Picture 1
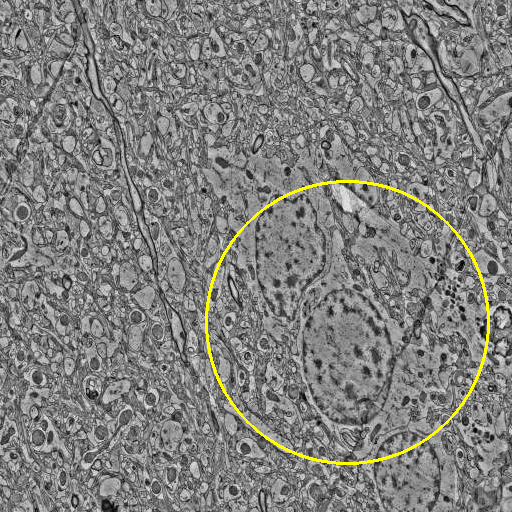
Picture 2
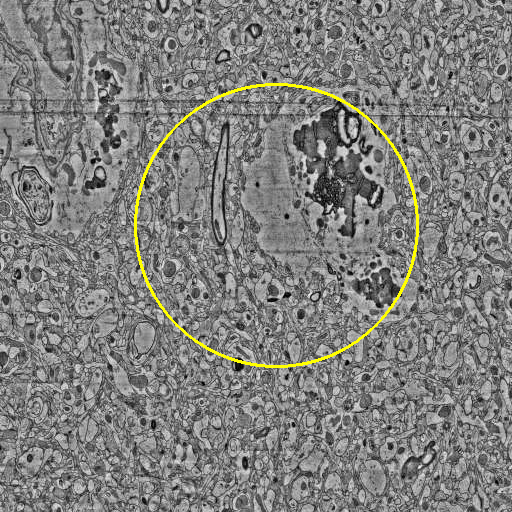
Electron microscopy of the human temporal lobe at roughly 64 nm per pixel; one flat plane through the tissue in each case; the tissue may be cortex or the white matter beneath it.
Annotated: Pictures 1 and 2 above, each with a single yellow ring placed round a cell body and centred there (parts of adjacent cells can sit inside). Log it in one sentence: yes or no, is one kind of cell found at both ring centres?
Yes, the ring centres of the two pictures hold cells of one kind.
